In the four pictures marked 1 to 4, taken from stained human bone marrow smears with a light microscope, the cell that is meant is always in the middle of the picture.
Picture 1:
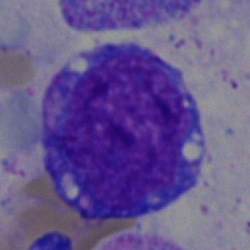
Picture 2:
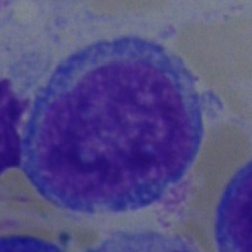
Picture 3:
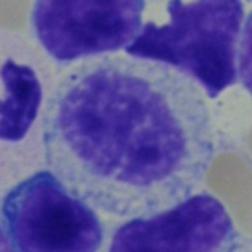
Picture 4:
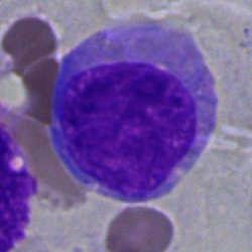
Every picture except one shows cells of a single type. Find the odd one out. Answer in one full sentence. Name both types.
All pictures except 3 show blasts; picture 3 shows a myelocyte.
